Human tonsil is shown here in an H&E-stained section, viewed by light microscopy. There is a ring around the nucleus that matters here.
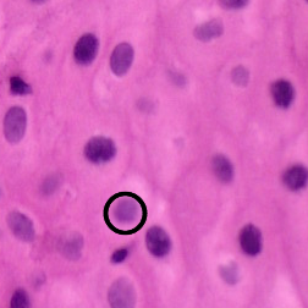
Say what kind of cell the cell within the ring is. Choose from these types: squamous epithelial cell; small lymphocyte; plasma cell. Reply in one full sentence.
The cell within the ring appears to be a squamous epithelial cell.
